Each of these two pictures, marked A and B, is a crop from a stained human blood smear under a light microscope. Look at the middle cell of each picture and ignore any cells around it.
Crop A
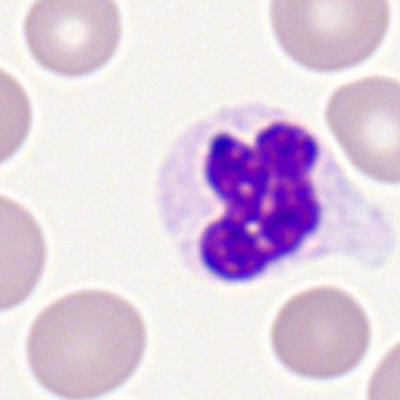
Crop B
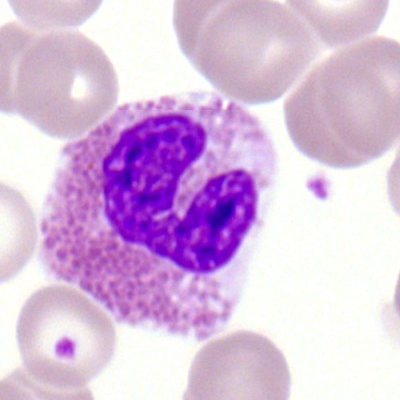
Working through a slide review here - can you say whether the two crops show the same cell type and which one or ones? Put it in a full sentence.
No, the cell in crop A is a segmented neutrophil and the one in crop B is an eosinophil.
